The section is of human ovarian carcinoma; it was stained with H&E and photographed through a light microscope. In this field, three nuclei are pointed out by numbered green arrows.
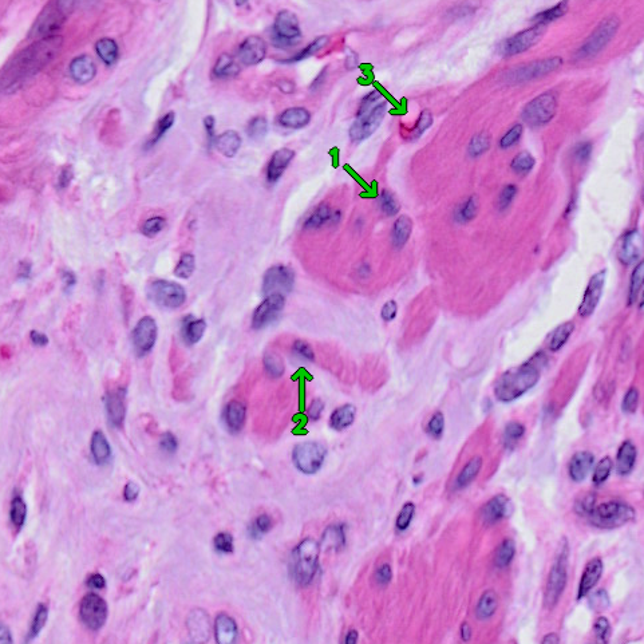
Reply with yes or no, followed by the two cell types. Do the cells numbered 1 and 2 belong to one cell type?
Yes, both are smooth muscle cells.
